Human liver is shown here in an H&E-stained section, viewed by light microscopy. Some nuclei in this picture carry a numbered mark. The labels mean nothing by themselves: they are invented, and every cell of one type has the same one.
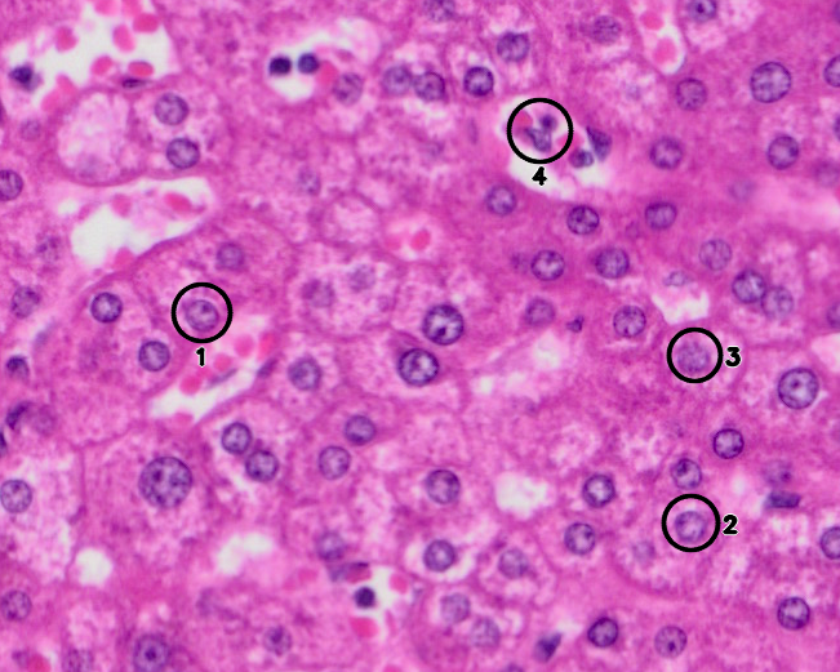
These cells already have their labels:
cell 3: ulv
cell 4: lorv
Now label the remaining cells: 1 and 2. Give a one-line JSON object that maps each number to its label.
{"1": "ulv", "2": "ulv"}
